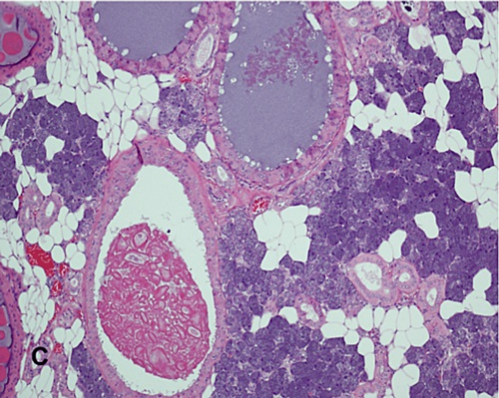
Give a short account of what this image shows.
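Salivary gland with several round cysts set among purple acini and fat cells, each lined by a thin layered epithelium of ductal cells with pink cytoplasm. The lumens hold pale purple secretions, and one is filled with pink, fragmented crystalloid material.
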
